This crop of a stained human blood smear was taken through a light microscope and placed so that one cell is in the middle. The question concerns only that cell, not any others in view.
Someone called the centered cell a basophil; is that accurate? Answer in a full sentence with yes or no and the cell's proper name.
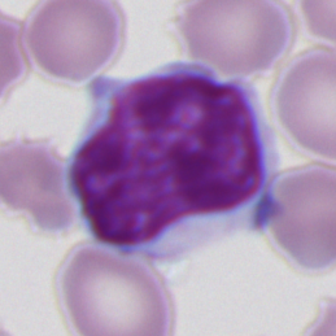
No, in the middle of the crop there is a typical lymphocyte rather than a basophil.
